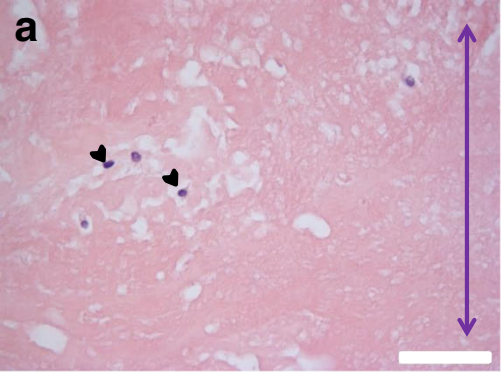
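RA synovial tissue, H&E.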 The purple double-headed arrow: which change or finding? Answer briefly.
Fibrinoid necrosis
